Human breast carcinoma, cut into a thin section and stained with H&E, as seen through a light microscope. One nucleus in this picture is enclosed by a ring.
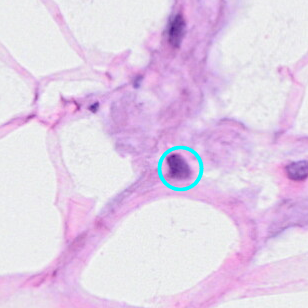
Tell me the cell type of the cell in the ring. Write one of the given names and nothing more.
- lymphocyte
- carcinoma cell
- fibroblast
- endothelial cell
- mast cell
fibroblast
